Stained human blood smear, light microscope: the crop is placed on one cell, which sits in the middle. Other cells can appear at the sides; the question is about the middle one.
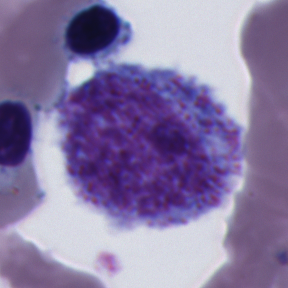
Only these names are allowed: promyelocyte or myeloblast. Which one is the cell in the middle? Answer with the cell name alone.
promyelocyte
